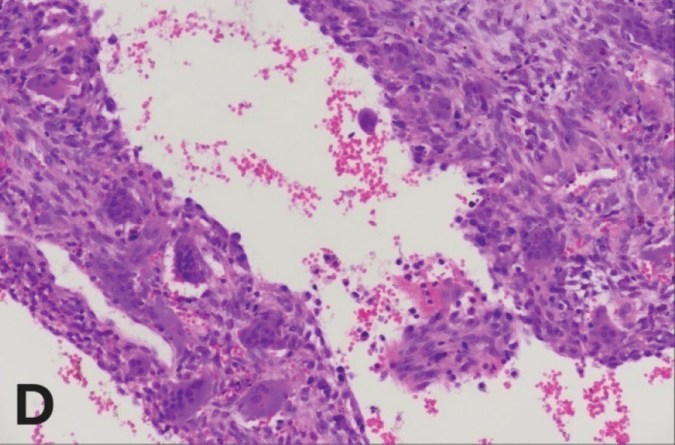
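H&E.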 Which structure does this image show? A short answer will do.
Large sinusoidal spaces.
